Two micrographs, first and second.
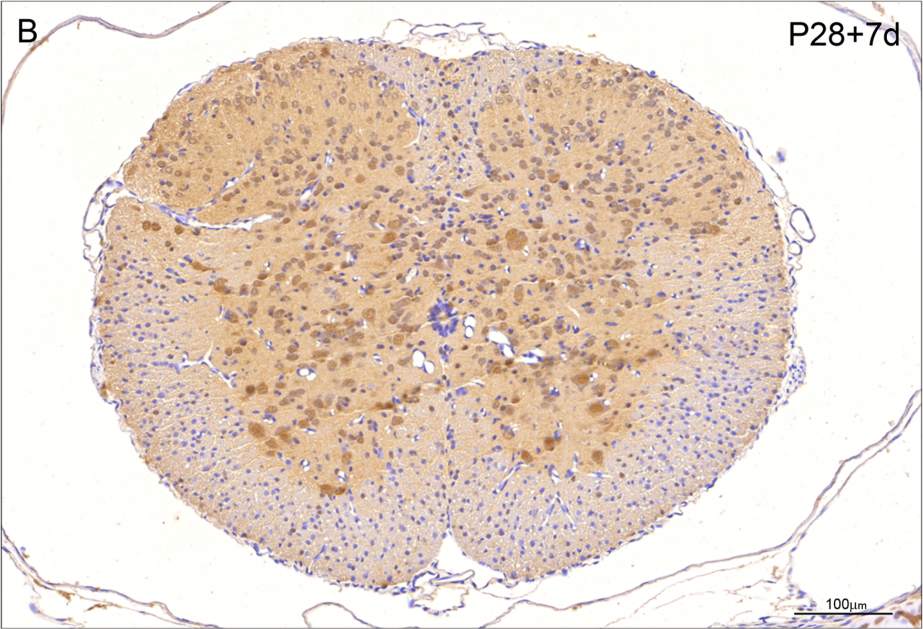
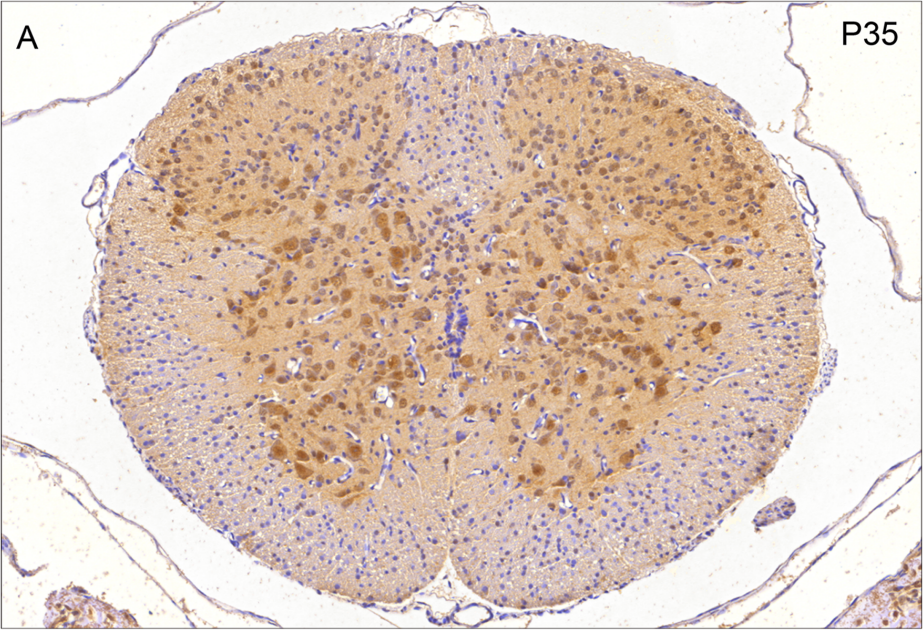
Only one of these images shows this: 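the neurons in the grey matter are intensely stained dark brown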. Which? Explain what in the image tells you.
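First image: brown staining of grey matter neurons is paler and more uniform. Second image: many grey matter neurons stand out as dark brown cell bodies. On this evidence: the second image.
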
